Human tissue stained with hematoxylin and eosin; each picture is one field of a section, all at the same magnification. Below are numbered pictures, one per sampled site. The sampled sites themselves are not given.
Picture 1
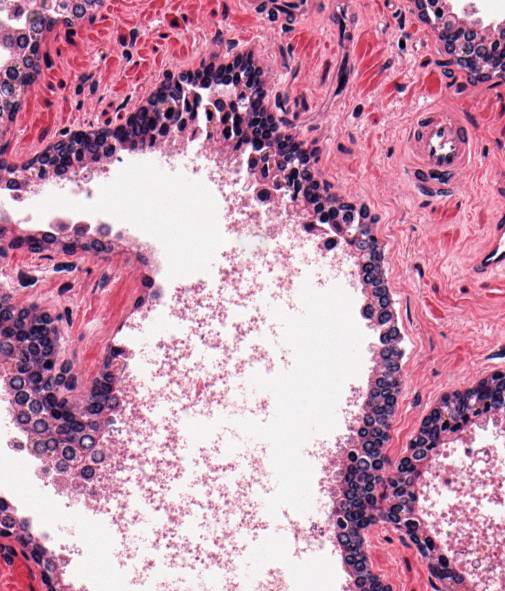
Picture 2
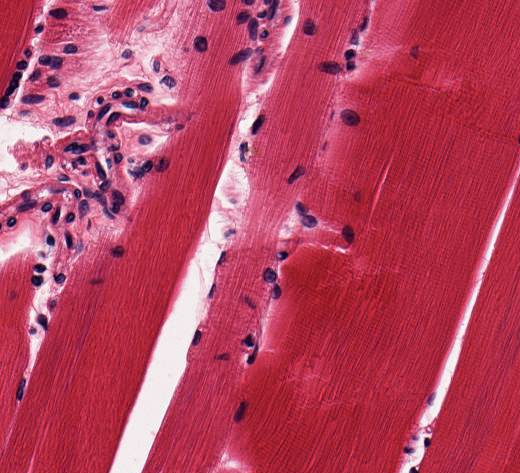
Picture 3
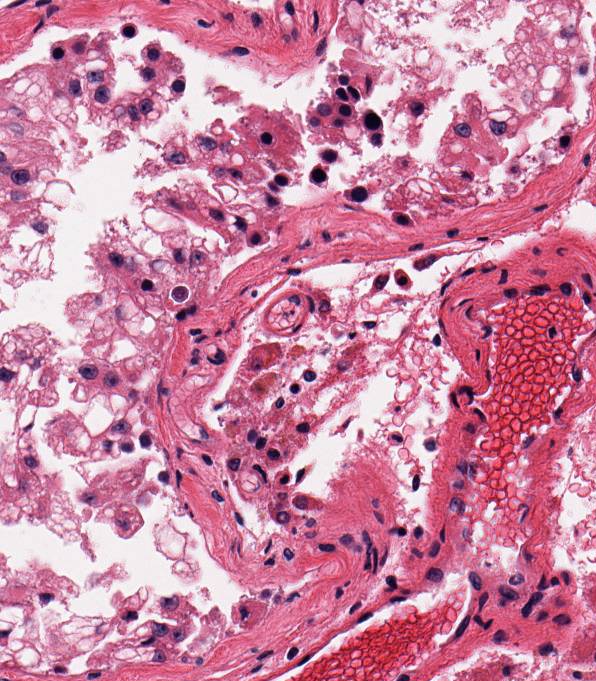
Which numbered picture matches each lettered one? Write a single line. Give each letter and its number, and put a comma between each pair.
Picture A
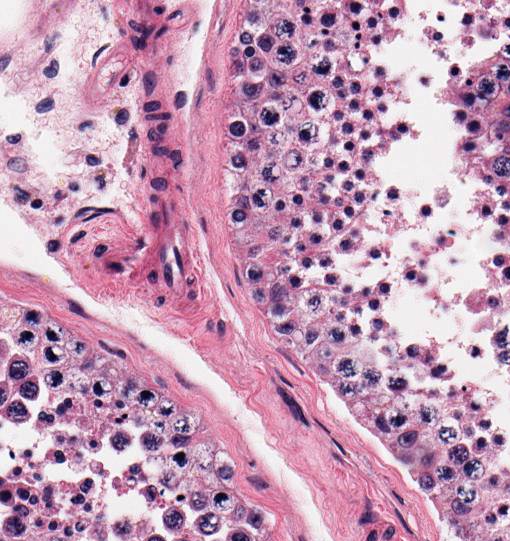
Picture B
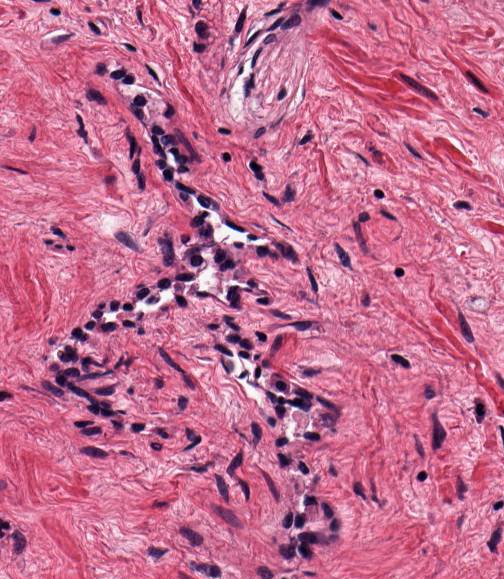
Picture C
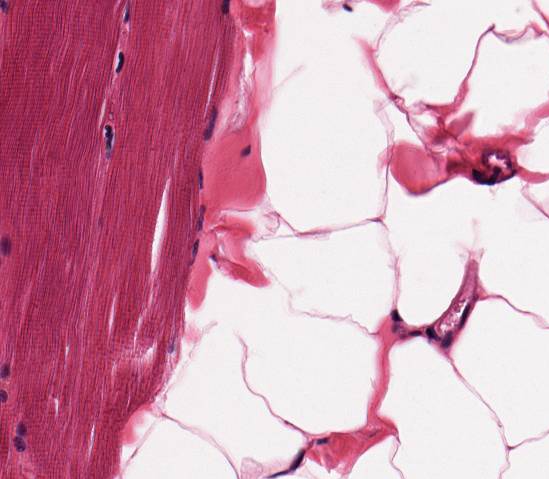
A 3, B 1, C 2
